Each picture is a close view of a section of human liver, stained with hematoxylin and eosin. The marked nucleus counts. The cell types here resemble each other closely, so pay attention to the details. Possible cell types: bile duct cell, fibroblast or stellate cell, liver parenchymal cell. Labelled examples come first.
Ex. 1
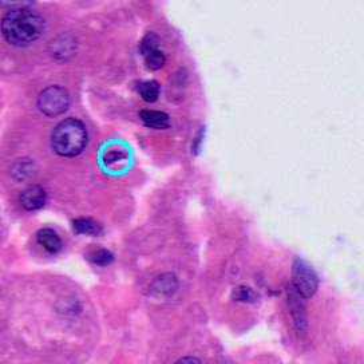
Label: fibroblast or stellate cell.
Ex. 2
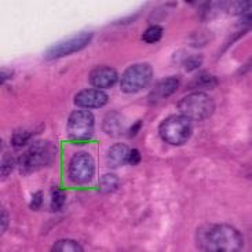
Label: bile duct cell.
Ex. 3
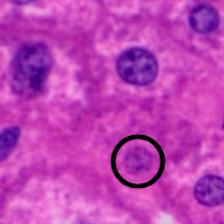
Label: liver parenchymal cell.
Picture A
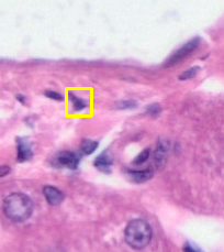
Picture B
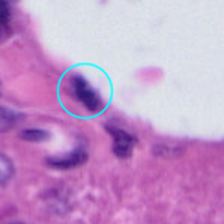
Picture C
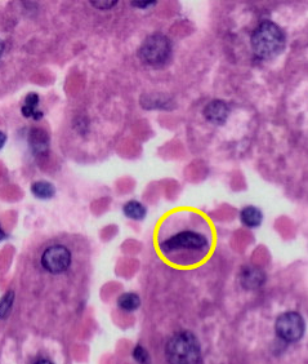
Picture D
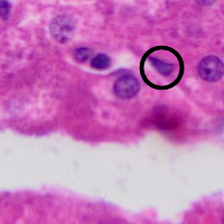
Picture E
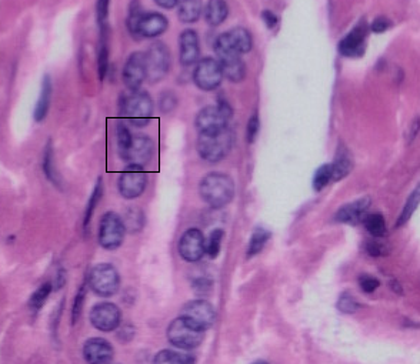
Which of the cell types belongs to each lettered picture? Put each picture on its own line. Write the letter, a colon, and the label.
A: fibroblast or stellate cell.
B: fibroblast or stellate cell.
C: fibroblast or stellate cell.
D: fibroblast or stellate cell.
E: bile duct cell.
